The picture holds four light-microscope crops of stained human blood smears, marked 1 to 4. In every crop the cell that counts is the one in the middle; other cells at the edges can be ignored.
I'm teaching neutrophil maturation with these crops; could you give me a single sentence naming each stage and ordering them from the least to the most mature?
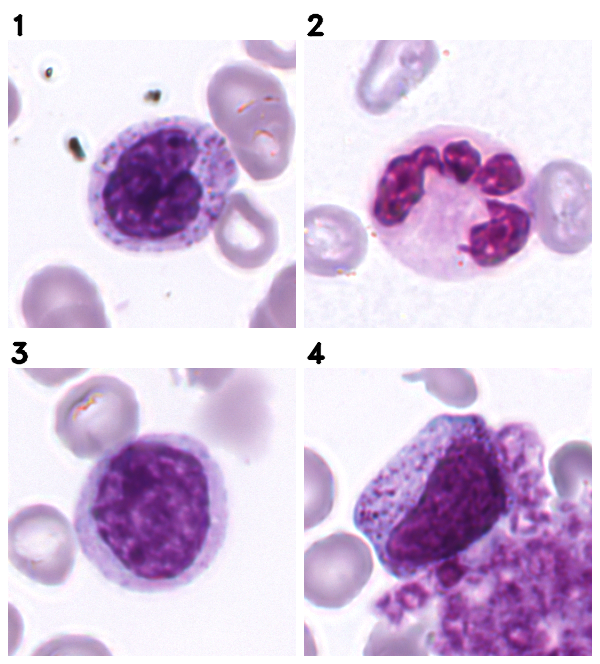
Listed from least to most mature, the crops read crop 3 (a myelocyte), crop 4 (a metamyelocyte), crop 1 (a band neutrophil) and crop 2 (a segmented neutrophil).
